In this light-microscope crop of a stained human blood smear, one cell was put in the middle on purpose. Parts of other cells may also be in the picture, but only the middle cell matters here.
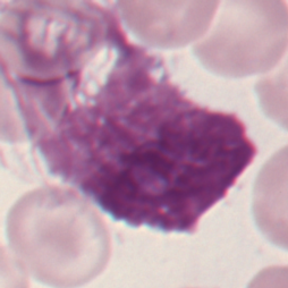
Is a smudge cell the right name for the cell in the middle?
yes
